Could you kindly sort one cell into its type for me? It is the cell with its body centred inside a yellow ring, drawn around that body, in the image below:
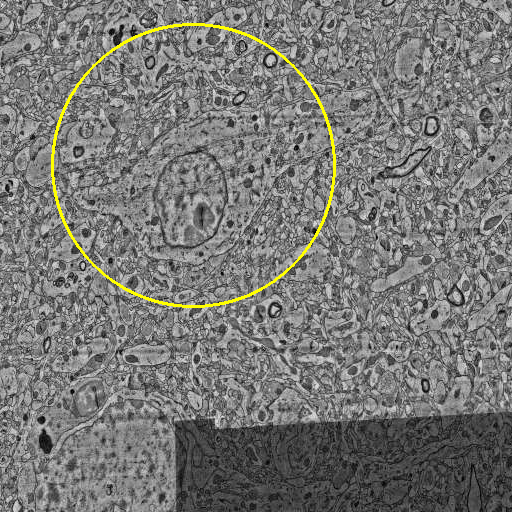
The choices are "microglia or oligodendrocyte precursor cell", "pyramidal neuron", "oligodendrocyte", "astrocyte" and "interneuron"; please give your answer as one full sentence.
The cell whose body lies centred in the yellow ring here is a pyramidal neuron.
